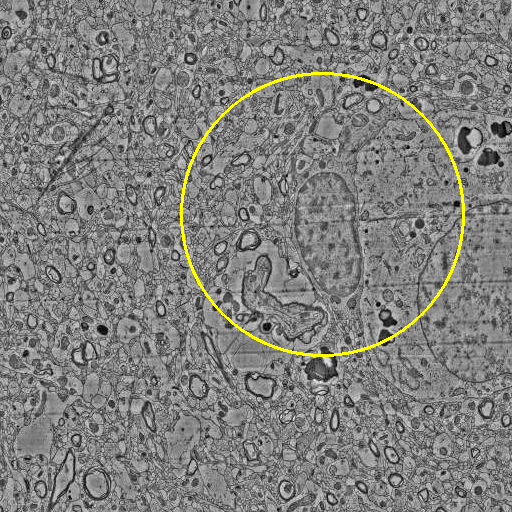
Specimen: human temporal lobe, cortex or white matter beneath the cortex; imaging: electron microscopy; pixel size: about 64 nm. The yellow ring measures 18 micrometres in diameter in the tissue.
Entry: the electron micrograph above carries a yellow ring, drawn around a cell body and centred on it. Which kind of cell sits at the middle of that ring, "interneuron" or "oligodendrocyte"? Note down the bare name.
oligodendrocyte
